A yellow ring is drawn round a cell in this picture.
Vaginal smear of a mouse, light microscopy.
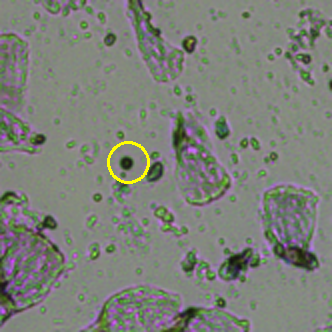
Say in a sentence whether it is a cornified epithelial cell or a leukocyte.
The cell in the ring is a leukocyte.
